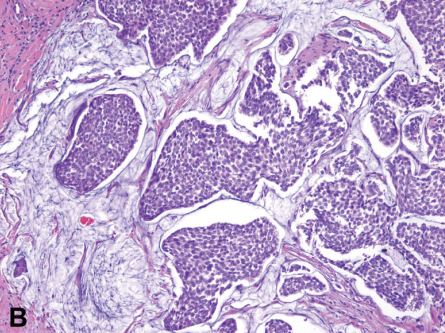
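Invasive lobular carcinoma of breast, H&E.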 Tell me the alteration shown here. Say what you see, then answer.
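Tumor cells form rounded nests. Pale, wispy bluish-grey material surrounds the nests.
Hence: extracellular mucin.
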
